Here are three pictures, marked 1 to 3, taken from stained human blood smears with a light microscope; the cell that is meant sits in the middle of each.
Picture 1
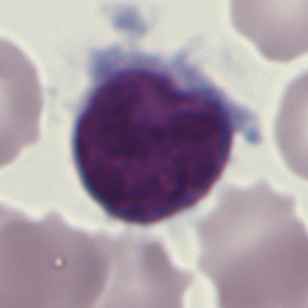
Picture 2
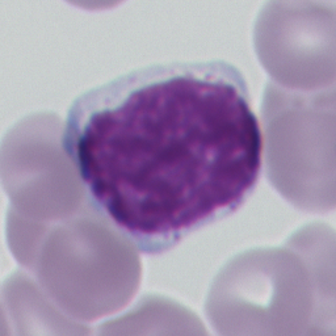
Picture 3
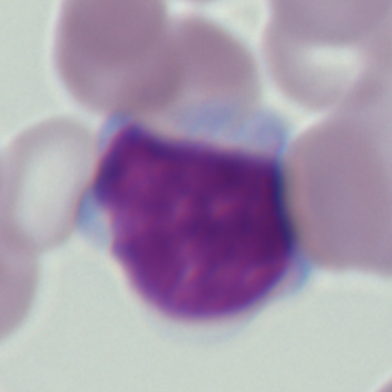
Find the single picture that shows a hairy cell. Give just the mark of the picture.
1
